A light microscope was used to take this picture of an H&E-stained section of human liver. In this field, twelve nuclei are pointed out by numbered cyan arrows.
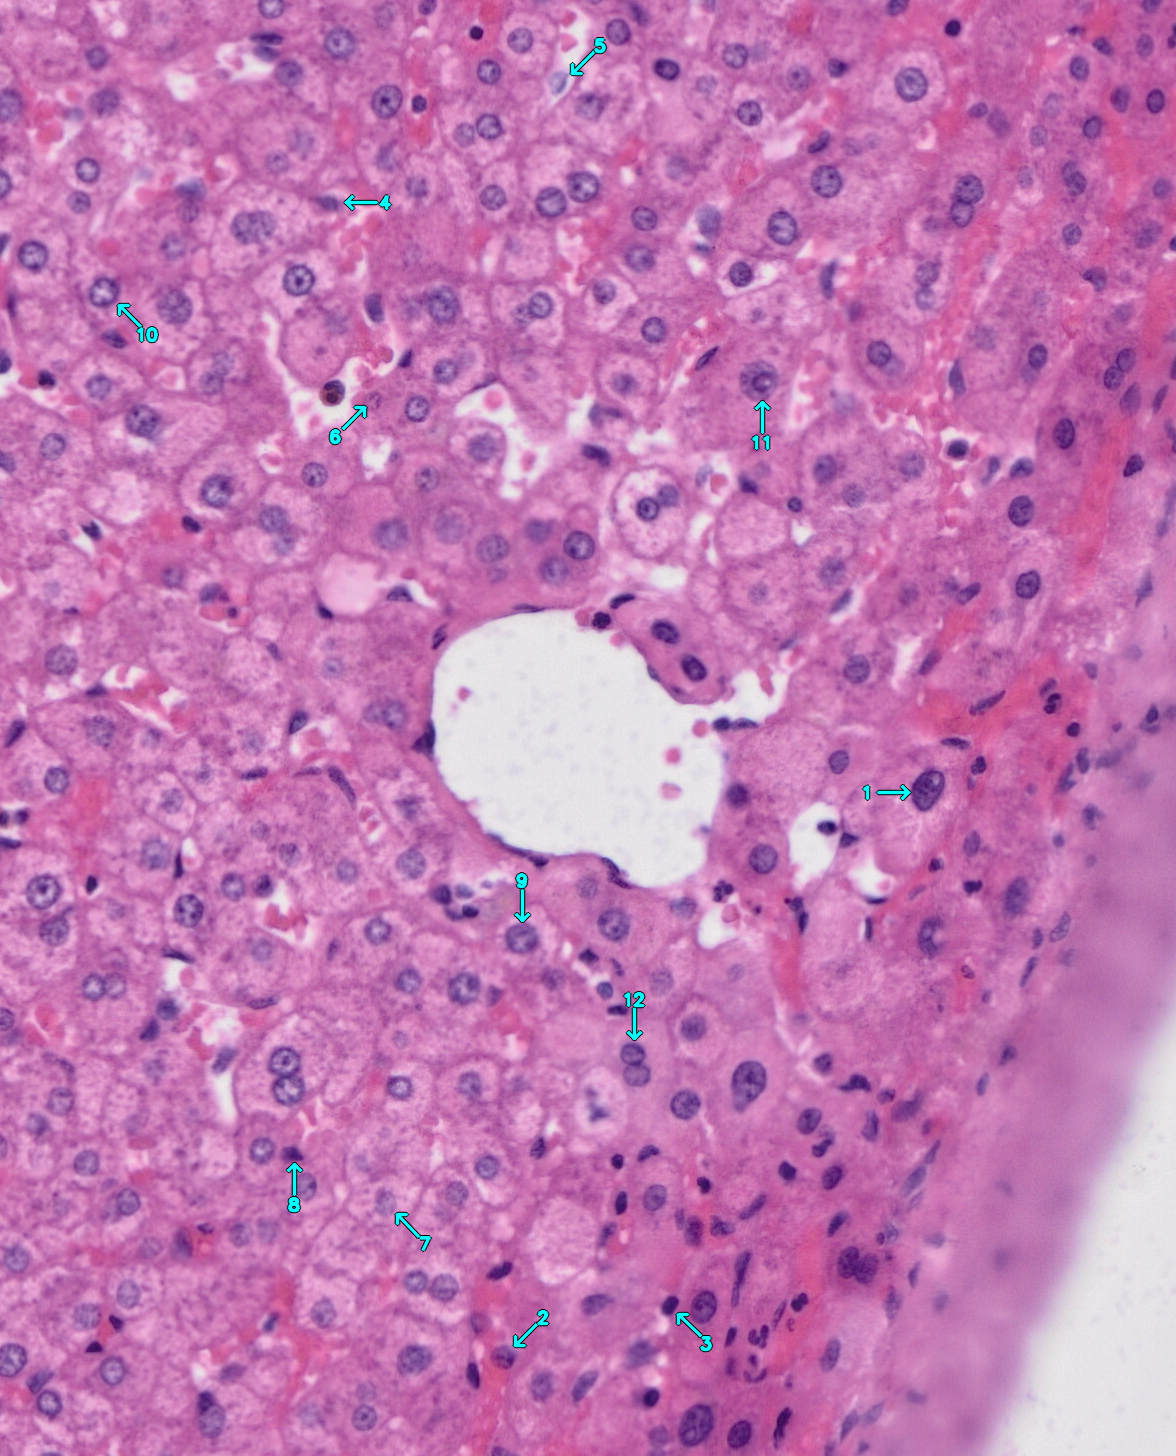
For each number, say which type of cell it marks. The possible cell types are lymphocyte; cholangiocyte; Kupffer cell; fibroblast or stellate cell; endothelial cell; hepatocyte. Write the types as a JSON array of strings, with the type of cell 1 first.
["hepatocyte", "endothelial cell", "lymphocyte", "Kupffer cell", "endothelial cell", "hepatocyte", "hepatocyte", "fibroblast or stellate cell", "hepatocyte", "hepatocyte", "hepatocyte", "hepatocyte"]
